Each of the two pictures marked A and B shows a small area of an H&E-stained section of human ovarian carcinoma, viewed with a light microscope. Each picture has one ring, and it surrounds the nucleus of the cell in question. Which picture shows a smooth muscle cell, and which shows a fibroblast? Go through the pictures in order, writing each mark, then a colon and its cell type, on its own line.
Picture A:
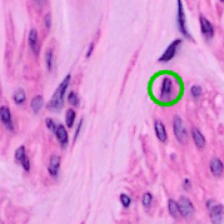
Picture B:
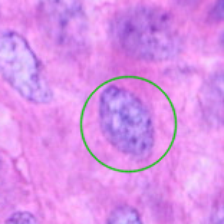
A: smooth muscle cell
B: fibroblast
